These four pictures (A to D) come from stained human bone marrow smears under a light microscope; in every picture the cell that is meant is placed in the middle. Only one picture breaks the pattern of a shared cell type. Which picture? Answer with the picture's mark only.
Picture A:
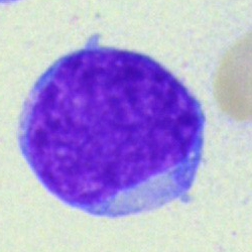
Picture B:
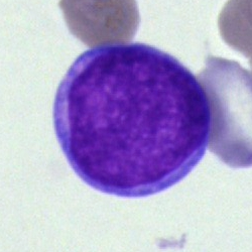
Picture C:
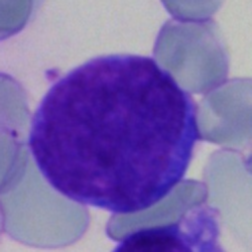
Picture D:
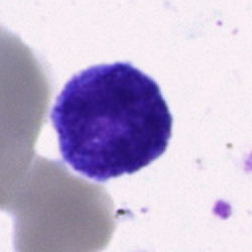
D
